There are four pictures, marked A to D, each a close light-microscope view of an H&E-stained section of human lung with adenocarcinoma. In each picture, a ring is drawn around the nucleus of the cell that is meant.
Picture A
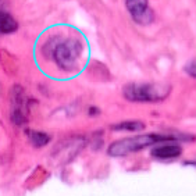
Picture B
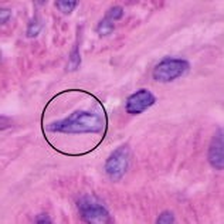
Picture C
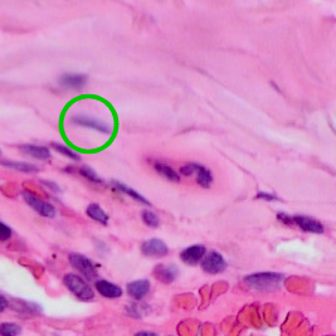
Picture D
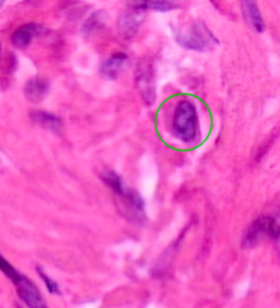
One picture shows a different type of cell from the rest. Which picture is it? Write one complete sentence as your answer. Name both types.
The different one is picture D; it shows a plasma cell, whereas all the others show fibroblasts.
